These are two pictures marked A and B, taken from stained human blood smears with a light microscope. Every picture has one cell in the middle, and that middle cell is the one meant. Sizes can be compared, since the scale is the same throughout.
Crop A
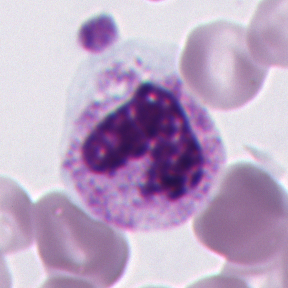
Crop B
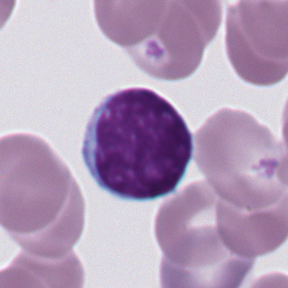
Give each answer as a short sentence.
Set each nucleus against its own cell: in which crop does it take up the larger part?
It is the cell in crop B that is filled more by its nucleus.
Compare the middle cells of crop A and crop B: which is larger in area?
Crop A holds the larger cell; it covers about 1.5 times the area of the cell in crop B.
